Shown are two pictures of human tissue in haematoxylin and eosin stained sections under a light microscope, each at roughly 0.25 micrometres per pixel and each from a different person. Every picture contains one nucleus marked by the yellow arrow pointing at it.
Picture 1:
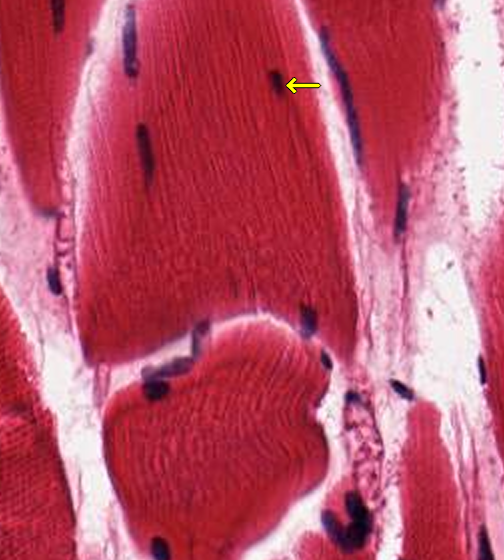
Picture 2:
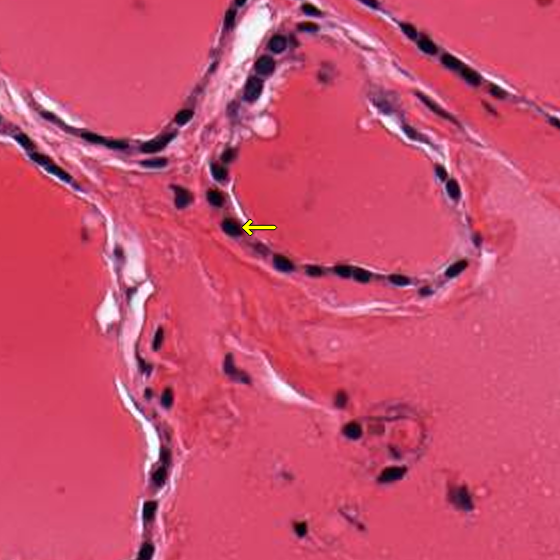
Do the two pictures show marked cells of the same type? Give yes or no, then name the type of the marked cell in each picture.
No, the first is a skeletal muscle fibre and the second a thyroid follicular cell.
